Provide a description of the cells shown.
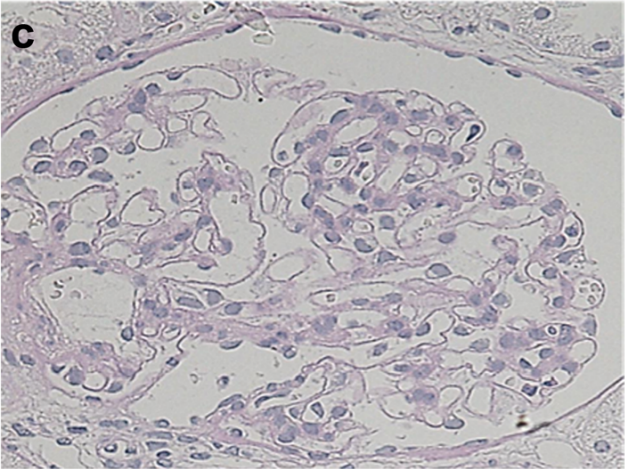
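A single large renal glomerulus fills the field, its tuft made of many open capillary loops outlined by pink-magenta basement membranes. Blue-purple nuclei of the cells of the tuft lie along and between the loops. The tuft is enclosed by a thin pink capsule, with a pale, clear space between the tuft and the capsule. Parts of surrounding tubules are seen at the edges of the field outside the capsule.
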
